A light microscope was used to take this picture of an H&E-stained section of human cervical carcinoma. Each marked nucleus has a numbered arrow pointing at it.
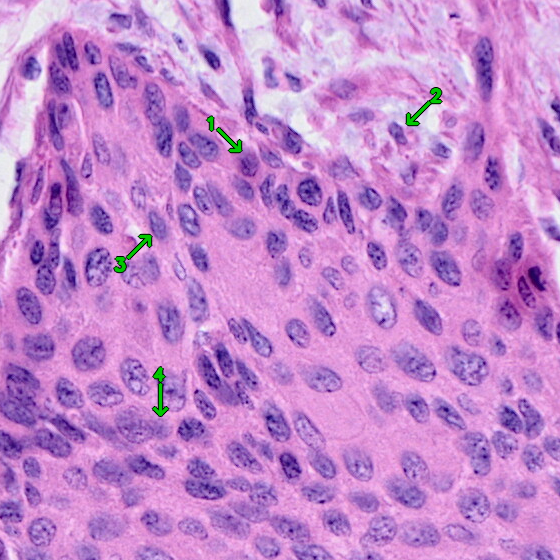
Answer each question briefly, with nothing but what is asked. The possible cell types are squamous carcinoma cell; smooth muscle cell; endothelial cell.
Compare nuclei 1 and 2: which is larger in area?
1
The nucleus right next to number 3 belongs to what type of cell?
squamous carcinoma cell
